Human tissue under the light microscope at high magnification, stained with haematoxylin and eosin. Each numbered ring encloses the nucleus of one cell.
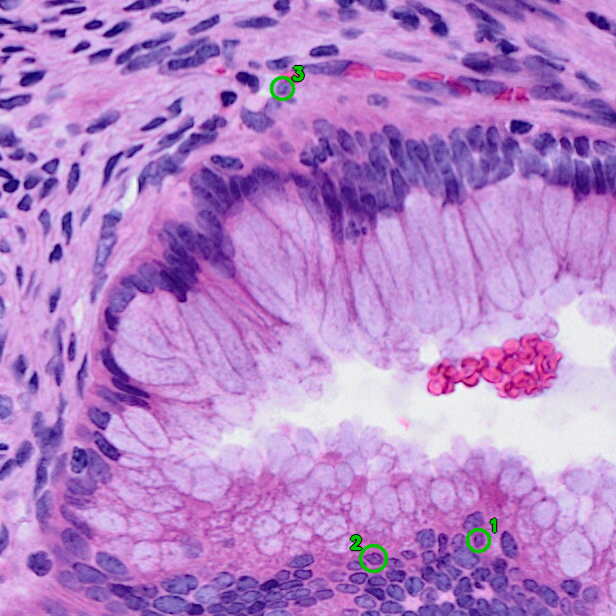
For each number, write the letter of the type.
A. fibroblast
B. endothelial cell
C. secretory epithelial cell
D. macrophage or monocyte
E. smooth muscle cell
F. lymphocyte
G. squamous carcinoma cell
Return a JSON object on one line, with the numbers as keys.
{"1": "C", "2": "C", "3": "B"}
